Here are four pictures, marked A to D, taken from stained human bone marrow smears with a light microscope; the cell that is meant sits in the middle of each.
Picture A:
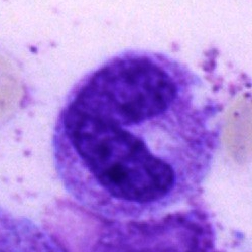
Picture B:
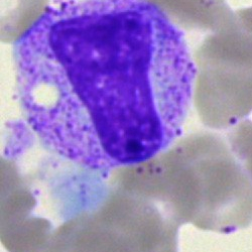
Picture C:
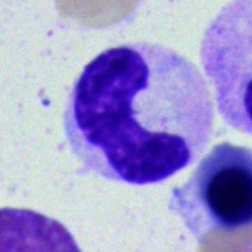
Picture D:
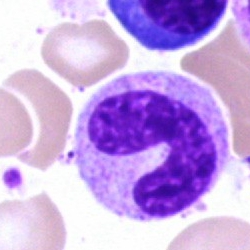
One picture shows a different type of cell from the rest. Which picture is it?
B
